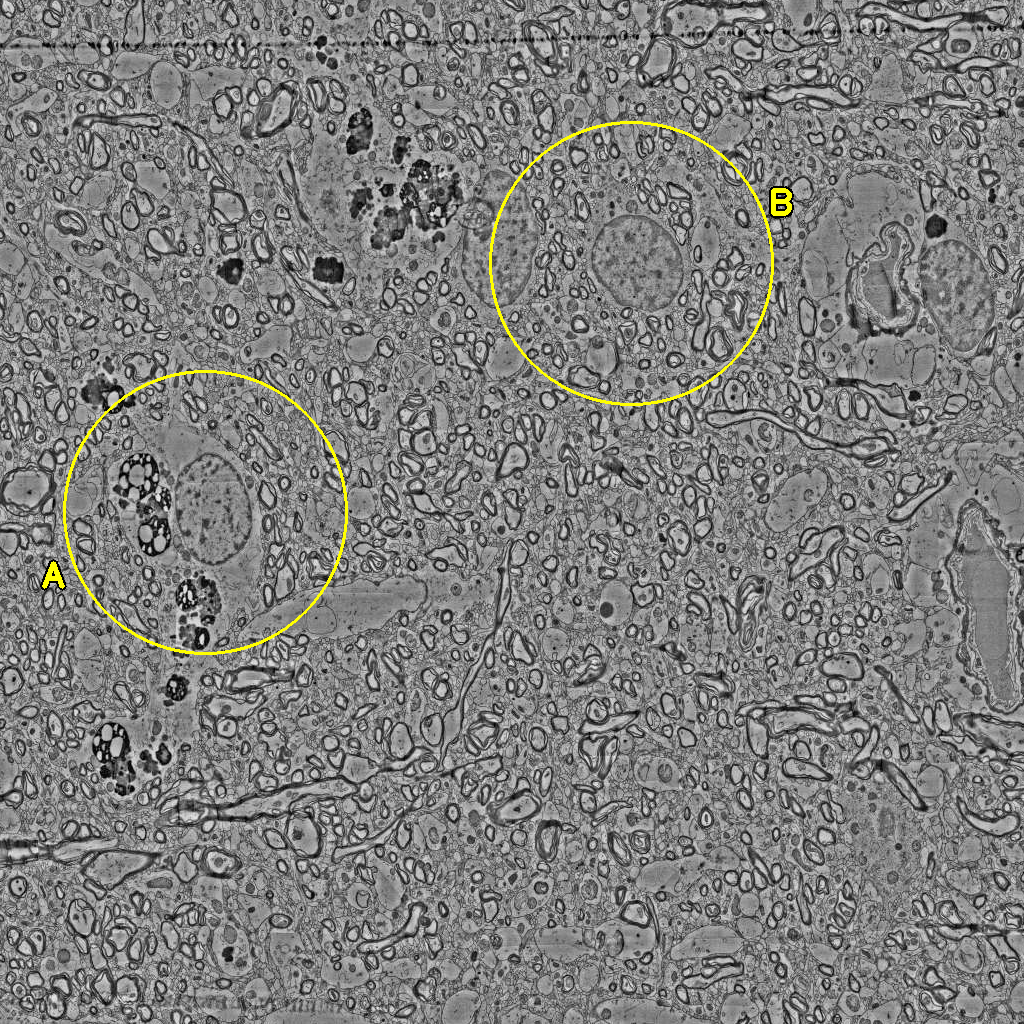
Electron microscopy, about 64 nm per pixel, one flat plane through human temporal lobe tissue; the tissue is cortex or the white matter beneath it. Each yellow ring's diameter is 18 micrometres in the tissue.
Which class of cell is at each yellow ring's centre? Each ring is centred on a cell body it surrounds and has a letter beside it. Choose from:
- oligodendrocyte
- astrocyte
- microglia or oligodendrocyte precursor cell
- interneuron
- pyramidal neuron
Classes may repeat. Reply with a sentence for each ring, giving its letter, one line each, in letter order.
The ring lettered A is centred on an astrocyte.
The ring lettered B is centred on an oligodendrocyte.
